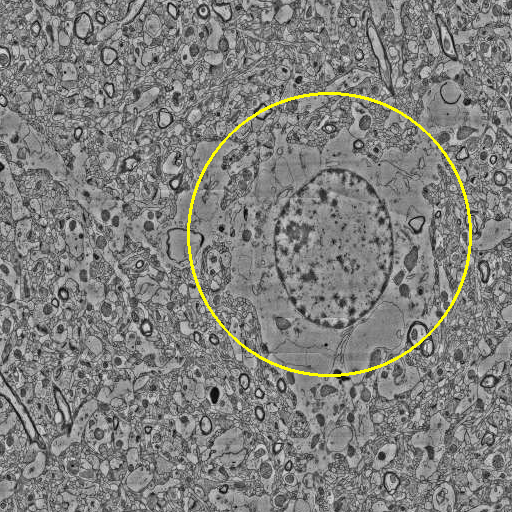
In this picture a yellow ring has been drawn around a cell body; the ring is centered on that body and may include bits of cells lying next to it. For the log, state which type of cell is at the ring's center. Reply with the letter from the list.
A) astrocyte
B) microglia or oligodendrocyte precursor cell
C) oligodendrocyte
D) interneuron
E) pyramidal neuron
A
